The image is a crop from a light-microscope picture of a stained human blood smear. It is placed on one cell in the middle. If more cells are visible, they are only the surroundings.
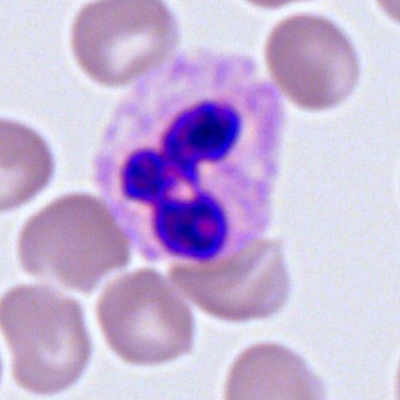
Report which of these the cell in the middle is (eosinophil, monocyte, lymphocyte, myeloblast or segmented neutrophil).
segmented neutrophil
